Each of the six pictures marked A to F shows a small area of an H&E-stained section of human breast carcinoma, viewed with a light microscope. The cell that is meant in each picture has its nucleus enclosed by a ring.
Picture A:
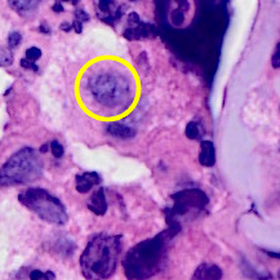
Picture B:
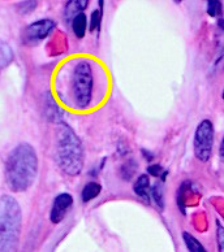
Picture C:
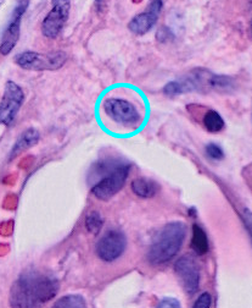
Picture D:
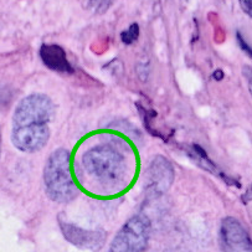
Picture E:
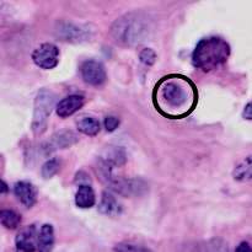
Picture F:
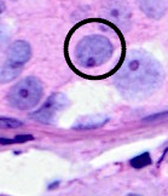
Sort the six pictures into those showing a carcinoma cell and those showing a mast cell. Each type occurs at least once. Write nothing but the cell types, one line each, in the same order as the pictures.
carcinoma cell
mast cell
mast cell
carcinoma cell
mast cell
carcinoma cell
